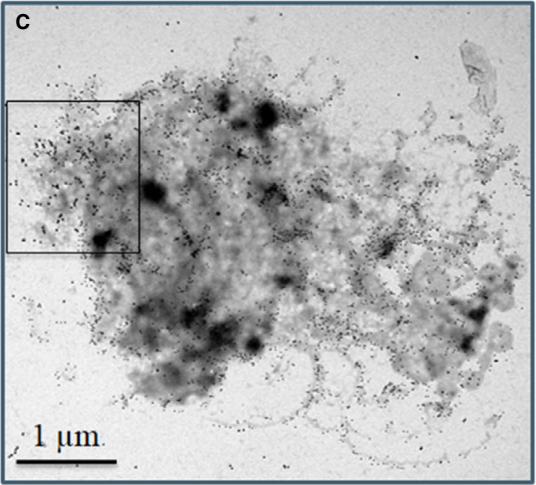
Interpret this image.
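A cell without a nucleus has a ragged, irregular outline, with a mottled, bubbly-looking body holding scattered small very dark dense spots. Thin looping strands of membrane extend outward from its edges, especially to the right and below. Black dots are scattered over the body and along the fringing membrane. This is a whole platelet that has lost its smooth outline.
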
